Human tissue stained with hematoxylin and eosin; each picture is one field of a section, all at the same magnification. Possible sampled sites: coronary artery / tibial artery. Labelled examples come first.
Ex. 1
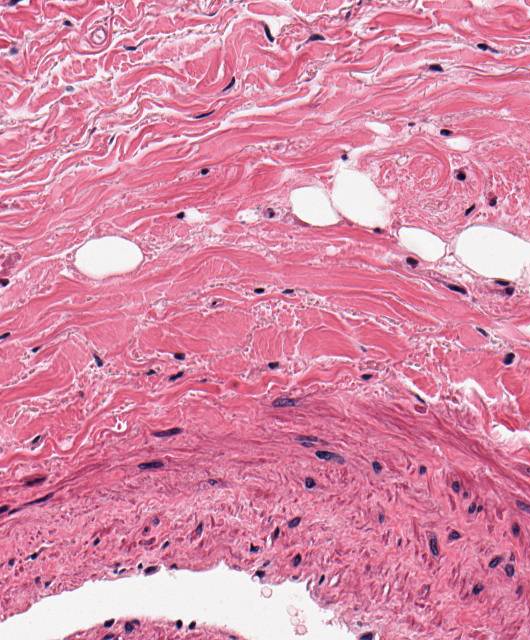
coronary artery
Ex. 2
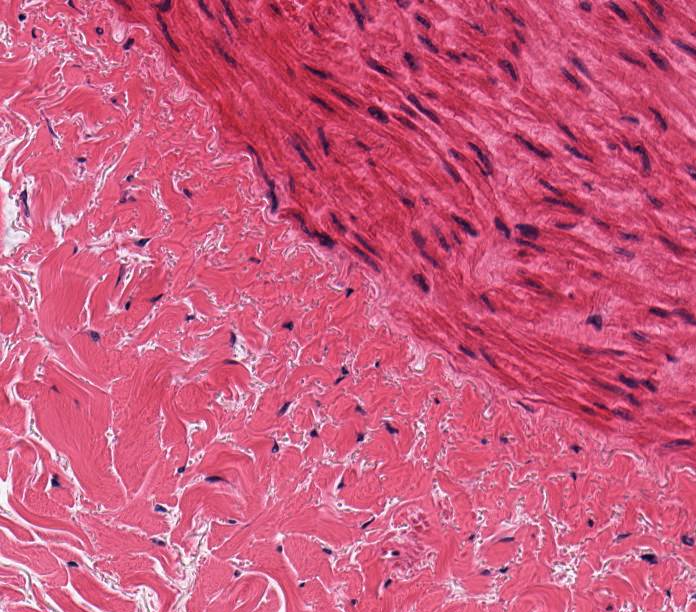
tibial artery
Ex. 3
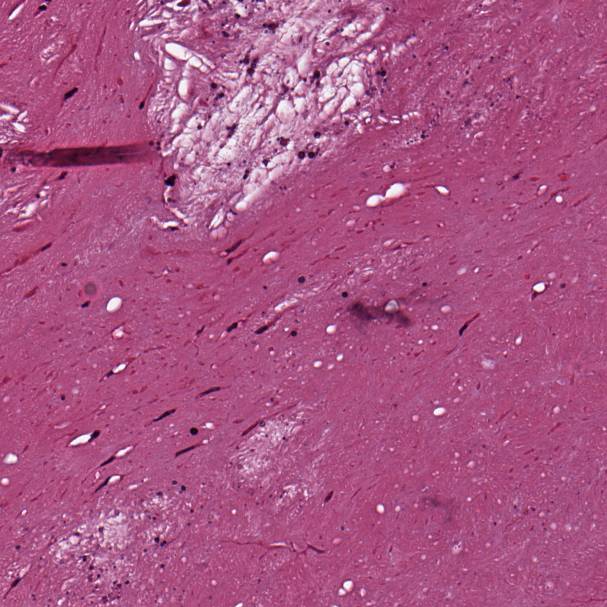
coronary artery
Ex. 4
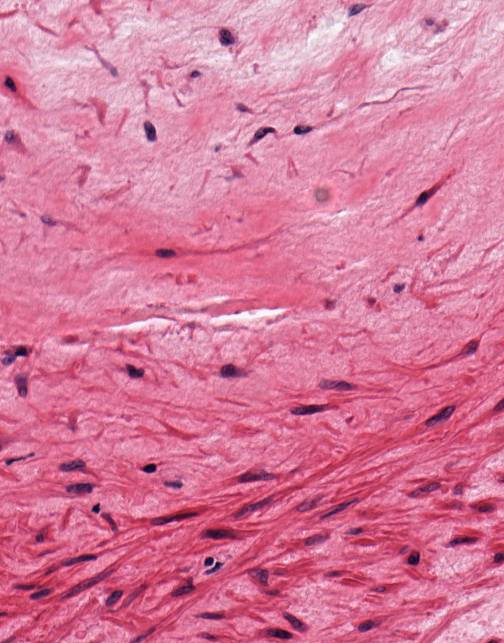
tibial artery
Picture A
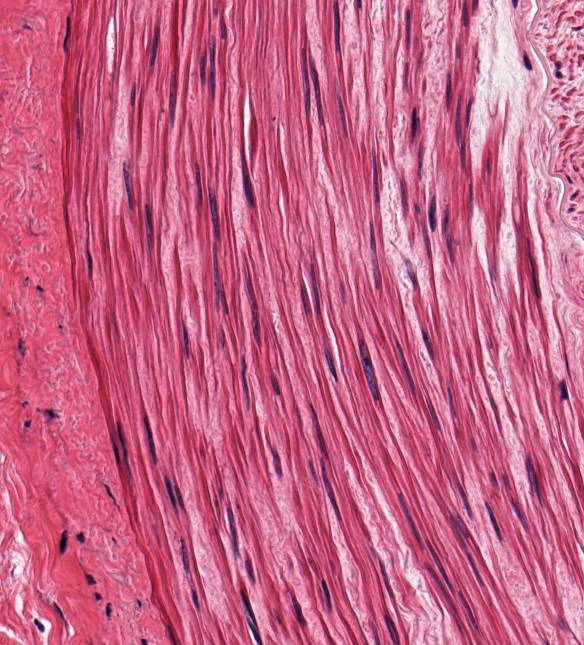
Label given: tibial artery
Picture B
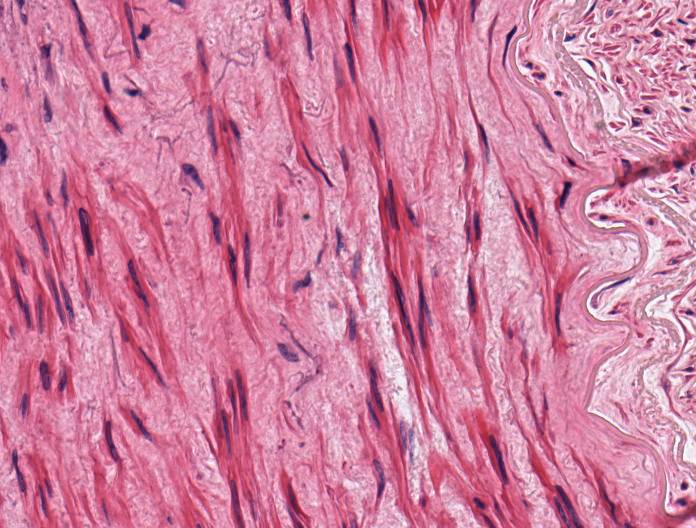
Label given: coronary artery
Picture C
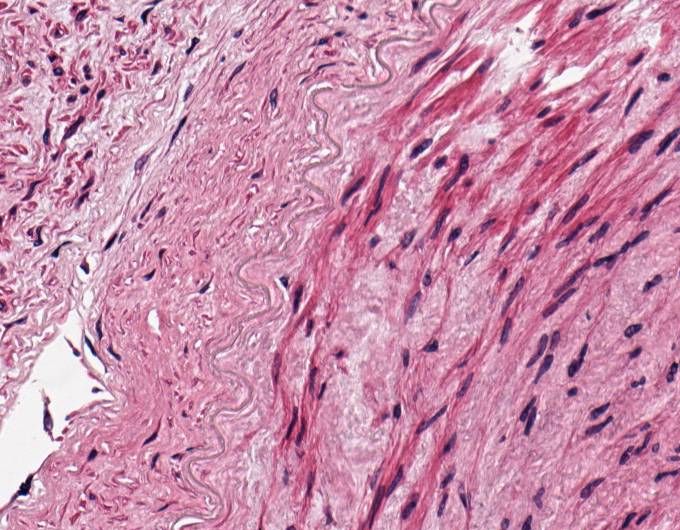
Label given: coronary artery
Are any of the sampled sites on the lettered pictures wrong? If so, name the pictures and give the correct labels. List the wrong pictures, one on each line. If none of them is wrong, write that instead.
B should be tibial artery, not coronary artery
C should be tibial artery, not coronary artery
